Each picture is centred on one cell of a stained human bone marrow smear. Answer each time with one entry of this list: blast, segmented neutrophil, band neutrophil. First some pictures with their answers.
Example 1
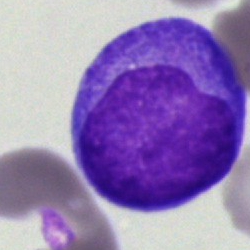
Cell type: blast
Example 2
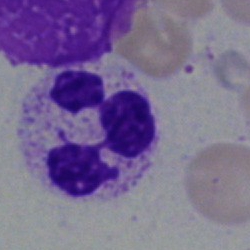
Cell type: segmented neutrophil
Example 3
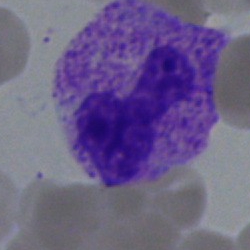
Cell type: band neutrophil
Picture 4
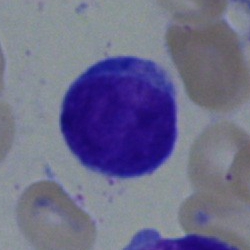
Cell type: blast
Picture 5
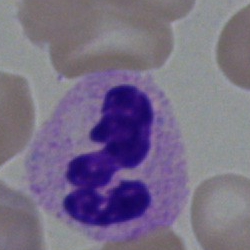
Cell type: segmented neutrophil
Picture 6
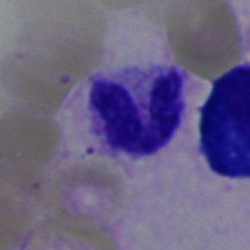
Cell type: band neutrophil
